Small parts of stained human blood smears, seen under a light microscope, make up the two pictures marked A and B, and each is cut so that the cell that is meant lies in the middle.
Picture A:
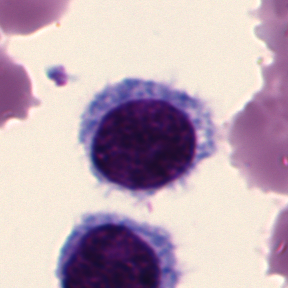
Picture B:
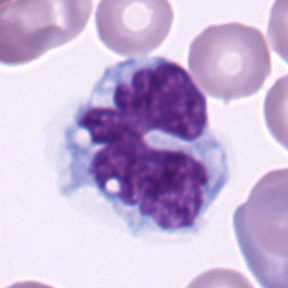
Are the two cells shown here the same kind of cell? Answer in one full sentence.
No. Picture A shows a hairy cell, but picture B shows a monocyte.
